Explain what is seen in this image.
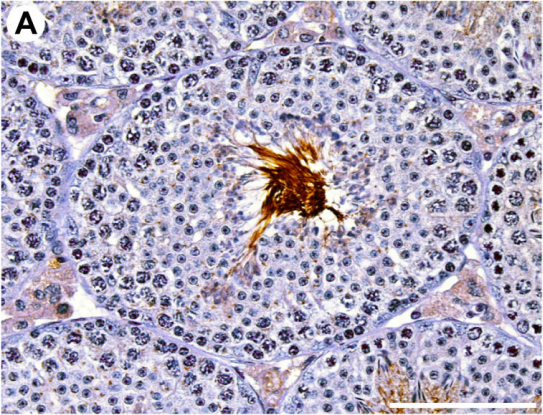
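A cross-section of testis showing one round seminiferous tubule surrounded by parts of neighbouring tubules. The tubule wall is packed with layered germ cells whose round nuclei stain dark blue, many with clumped chromatin. At the centre, the lumen holds a dense tuft of strongly brown, thread-like tails of sperm. In the angular spaces between tubules lie clusters of interstitial Leydig cells with pale pinkish-brown cytoplasm, weaker than the staining in the lumen. The tubules are bounded by thin flattened cells.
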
